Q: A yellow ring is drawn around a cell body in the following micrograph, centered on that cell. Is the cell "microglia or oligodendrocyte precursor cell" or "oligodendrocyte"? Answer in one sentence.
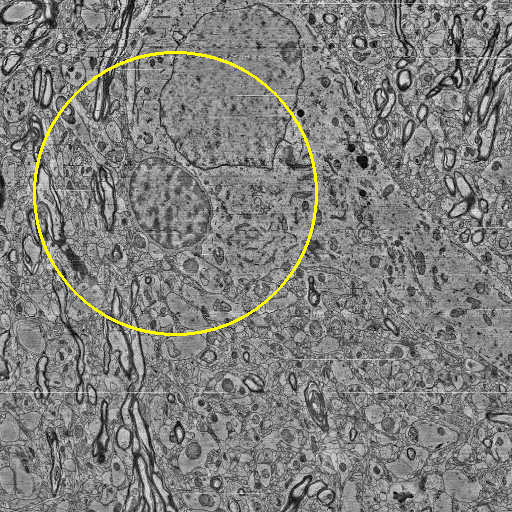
The cell in the center of the ring is an oligodendrocyte.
